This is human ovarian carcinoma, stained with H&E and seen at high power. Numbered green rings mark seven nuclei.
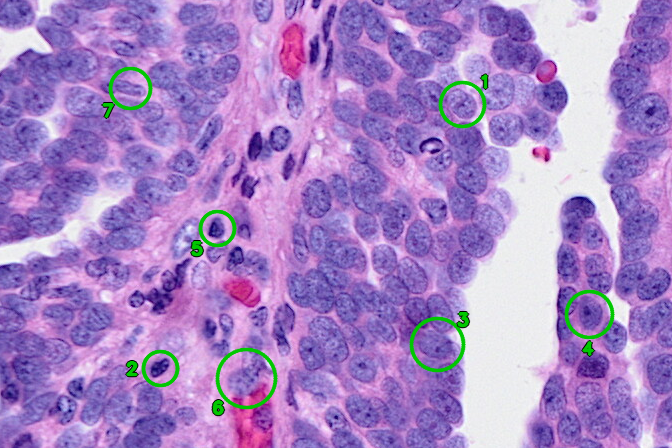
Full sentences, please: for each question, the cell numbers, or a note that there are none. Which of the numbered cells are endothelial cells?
Cell number 6 alone is an endothelial cell; the rest are not.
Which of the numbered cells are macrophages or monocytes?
Of all the numbered cells, only cell 7 is a macrophage or monocyte.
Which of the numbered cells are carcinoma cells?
The identity of cells 1, 3 and 4: they are carcinoma cells.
